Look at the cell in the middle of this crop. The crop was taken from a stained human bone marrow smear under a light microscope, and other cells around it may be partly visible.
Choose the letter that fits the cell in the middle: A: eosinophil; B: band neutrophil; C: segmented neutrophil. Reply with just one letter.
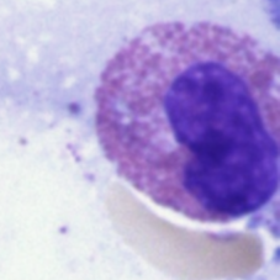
A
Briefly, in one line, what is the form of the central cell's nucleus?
The key feature is a nucleus with multiple lobes.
